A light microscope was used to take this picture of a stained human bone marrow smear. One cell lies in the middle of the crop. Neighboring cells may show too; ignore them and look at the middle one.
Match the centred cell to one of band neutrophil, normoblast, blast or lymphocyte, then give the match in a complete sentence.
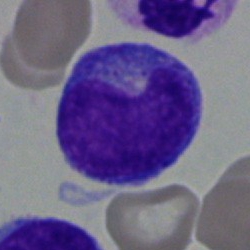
What the crop centres on is a blast.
